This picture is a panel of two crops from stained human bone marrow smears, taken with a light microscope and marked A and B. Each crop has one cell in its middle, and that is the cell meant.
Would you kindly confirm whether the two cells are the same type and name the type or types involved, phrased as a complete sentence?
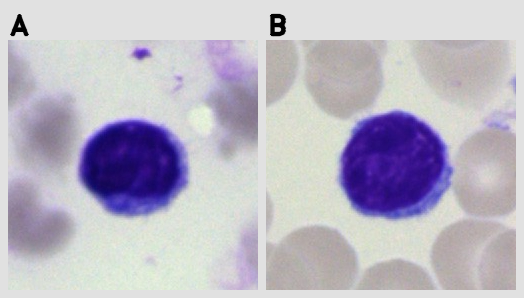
Yes, both crops have lymphocytes at the centre.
